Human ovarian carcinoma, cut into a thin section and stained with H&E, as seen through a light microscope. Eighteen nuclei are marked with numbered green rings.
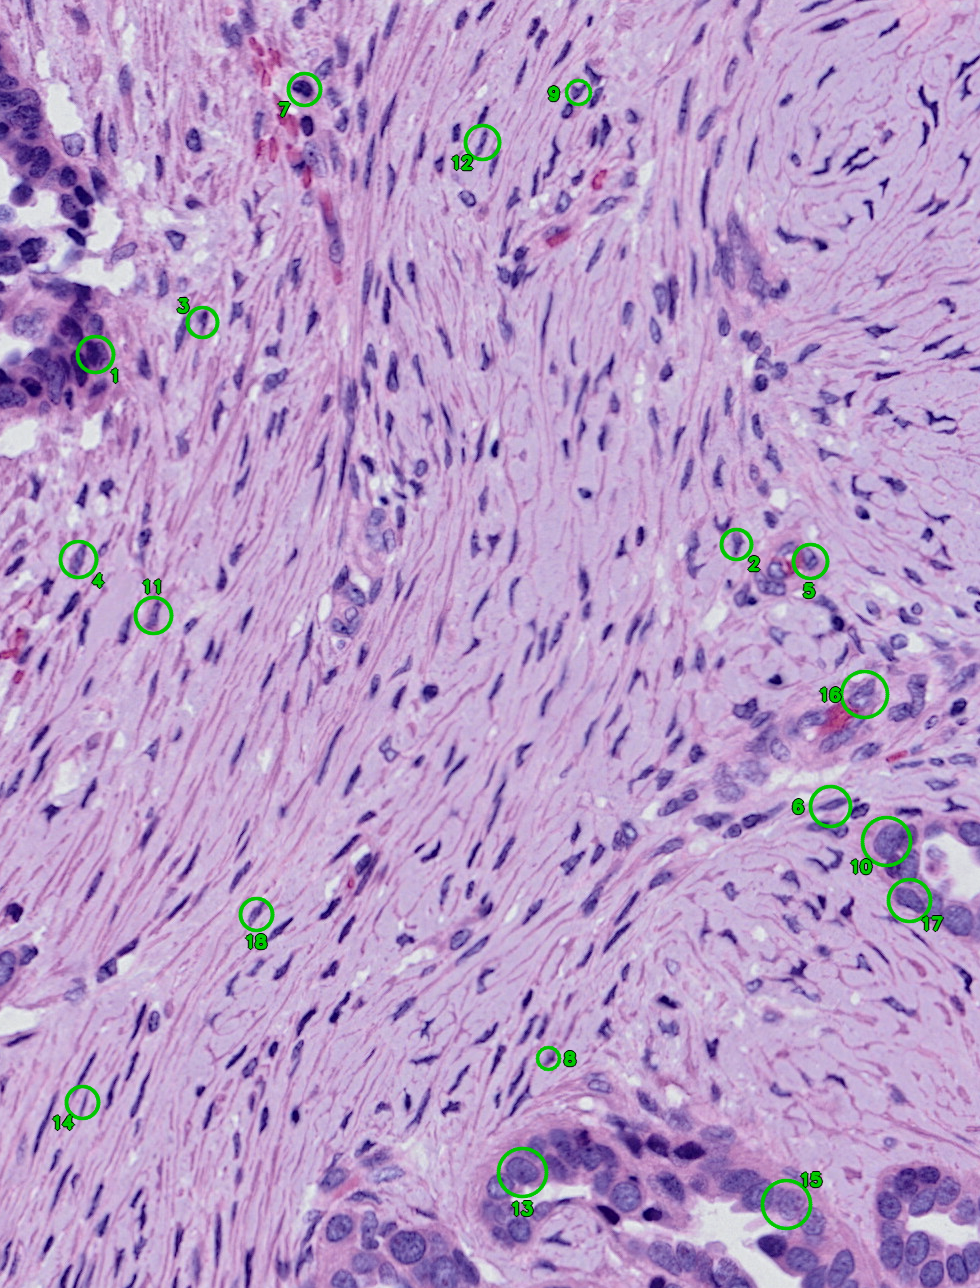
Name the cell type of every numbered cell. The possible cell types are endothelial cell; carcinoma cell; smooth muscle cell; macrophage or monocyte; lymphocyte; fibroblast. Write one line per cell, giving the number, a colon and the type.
1: carcinoma cell
2: fibroblast
3: fibroblast
4: fibroblast
5: endothelial cell
6: fibroblast
7: lymphocyte
8: fibroblast
9: fibroblast
10: carcinoma cell
11: fibroblast
12: fibroblast
13: carcinoma cell
14: fibroblast
15: carcinoma cell
16: endothelial cell
17: carcinoma cell
18: fibroblast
